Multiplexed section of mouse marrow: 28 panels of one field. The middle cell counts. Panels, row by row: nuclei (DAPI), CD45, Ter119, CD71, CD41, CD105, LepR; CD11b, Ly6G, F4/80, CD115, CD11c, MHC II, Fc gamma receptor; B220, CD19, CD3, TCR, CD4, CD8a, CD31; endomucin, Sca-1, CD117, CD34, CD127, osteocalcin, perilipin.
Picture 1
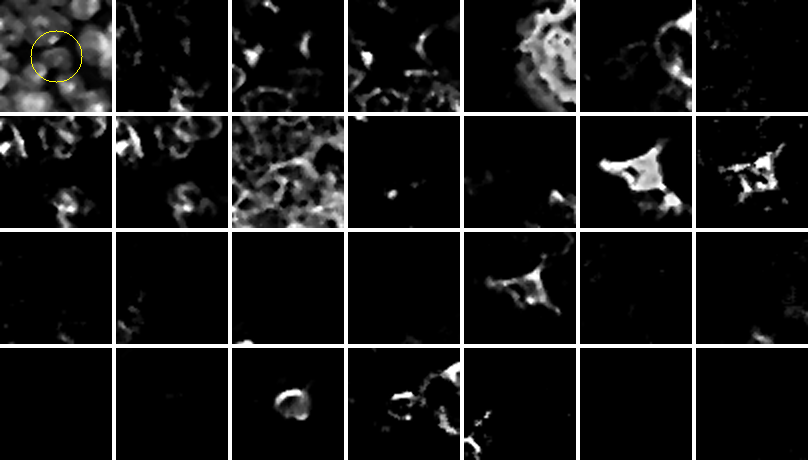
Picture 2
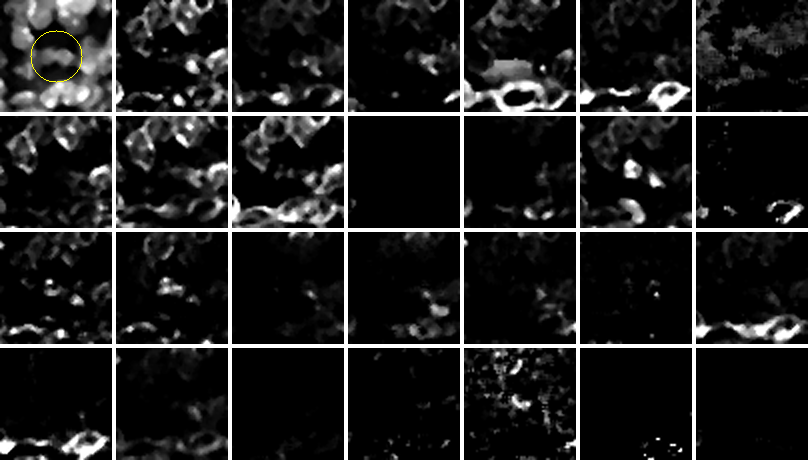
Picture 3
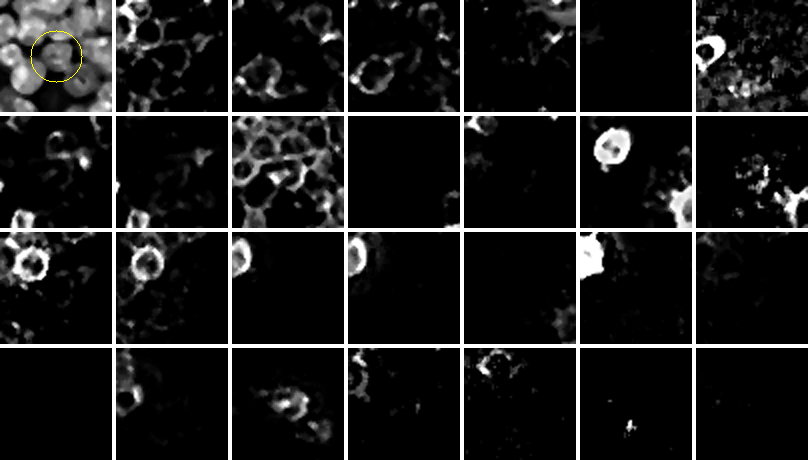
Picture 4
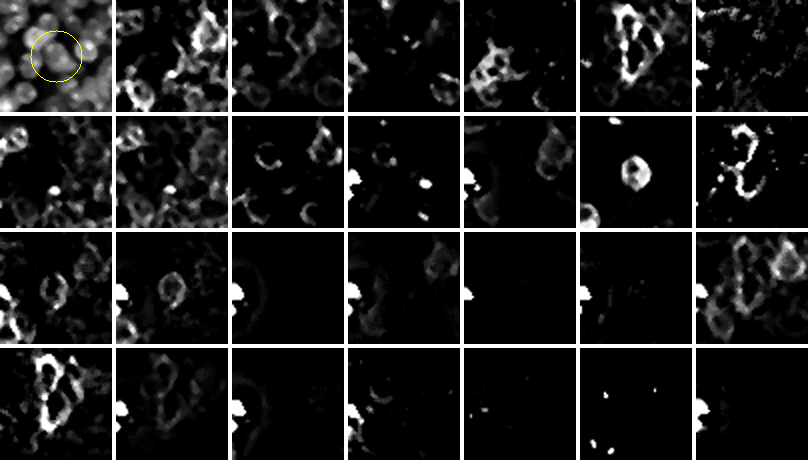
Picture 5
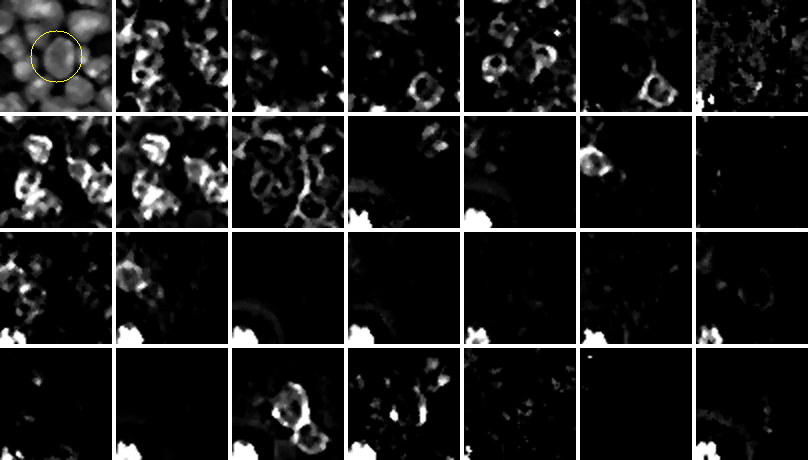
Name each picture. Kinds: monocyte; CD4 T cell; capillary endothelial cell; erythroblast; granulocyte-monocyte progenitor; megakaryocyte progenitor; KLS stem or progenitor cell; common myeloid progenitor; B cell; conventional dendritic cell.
Picture 1: granulocyte-monocyte progenitor
Picture 2: B cell
Picture 3: granulocyte-monocyte progenitor
Picture 4: capillary endothelial cell
Picture 5: common myeloid progenitor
